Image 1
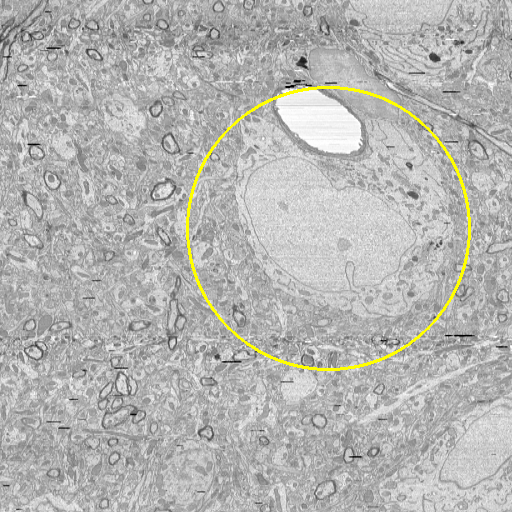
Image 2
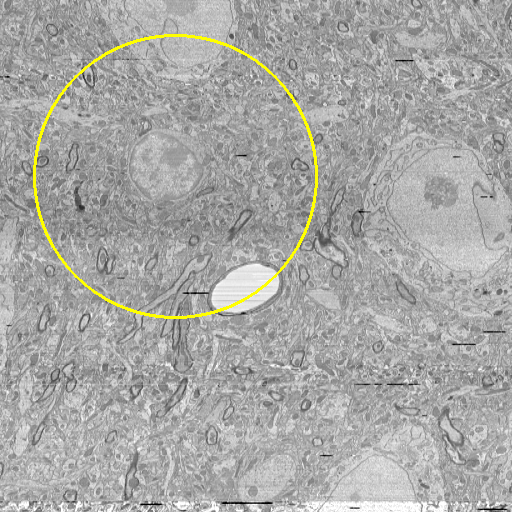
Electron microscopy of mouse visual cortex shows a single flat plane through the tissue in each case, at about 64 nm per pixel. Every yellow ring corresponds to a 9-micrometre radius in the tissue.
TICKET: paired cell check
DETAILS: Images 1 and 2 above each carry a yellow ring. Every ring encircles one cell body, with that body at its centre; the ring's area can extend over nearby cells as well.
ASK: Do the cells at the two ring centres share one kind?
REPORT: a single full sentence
No, the ring-centre cells of Images 1 and 2 belong to two kinds.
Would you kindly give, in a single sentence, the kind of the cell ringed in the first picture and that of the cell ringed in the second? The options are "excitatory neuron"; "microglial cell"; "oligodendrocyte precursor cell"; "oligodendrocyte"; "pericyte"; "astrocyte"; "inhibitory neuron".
The second cell is an oligodendrocyte, and the first cell is an excitatory neuron.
